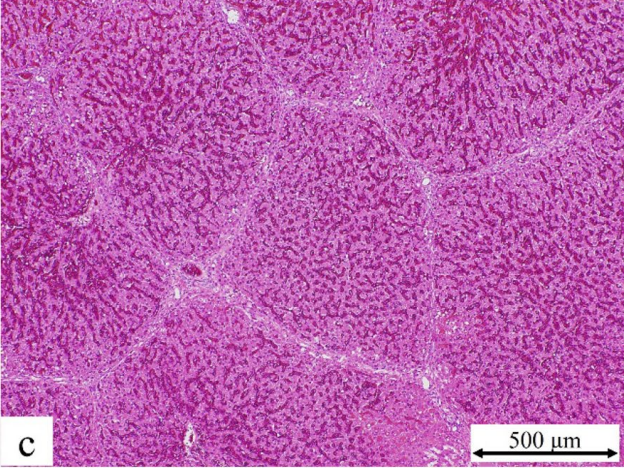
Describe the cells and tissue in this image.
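This is liver parenchyma in which hepatocyte cords are separated by widened sinusoids packed with deep red material, giving the lobules a mottled dark red look. The congestion is most intense in parts of the lobules, with paler pink hepatocyte cords threading between the red-filled spaces. Thin pale bands of connective tissue outline the lobules, with small vessels at their junctions.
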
